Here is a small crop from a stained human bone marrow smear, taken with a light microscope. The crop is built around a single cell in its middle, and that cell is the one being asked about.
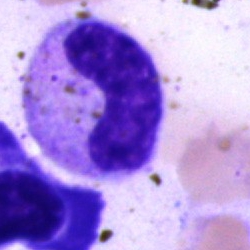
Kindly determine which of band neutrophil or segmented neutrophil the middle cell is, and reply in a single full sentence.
In the middle of this smear crop, the cell is a band neutrophil.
